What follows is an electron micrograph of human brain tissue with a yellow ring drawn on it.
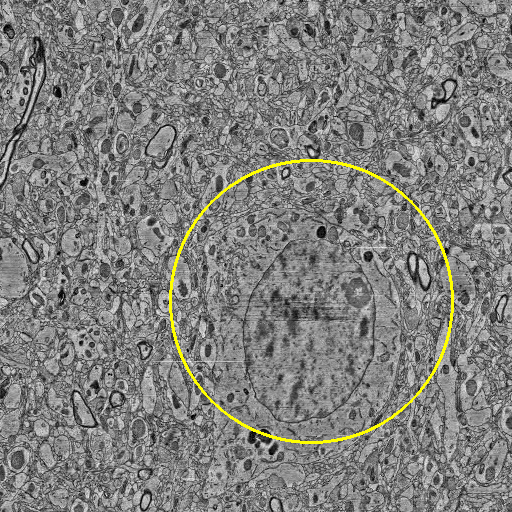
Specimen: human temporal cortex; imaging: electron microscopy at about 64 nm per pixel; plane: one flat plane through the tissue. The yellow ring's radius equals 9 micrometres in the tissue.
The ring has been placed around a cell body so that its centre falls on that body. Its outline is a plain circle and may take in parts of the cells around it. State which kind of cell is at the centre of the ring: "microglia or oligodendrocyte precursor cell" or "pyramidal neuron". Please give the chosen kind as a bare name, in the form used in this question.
pyramidal neuron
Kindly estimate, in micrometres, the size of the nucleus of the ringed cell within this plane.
The ringed cell's nucleus is about 12 micrometres long and 9 micrometres wide in this plane.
